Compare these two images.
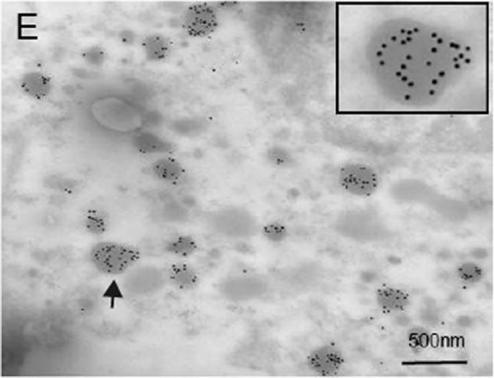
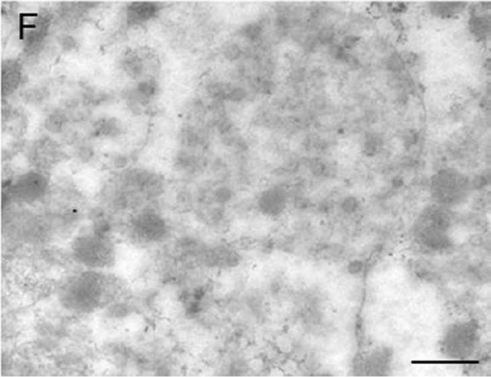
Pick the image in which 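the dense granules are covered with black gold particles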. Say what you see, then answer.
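Second image: round grey granules lie in the field with no black dots on them. First image: many round dense granules carry clusters of small black dots. That points to this answer: the first image.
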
